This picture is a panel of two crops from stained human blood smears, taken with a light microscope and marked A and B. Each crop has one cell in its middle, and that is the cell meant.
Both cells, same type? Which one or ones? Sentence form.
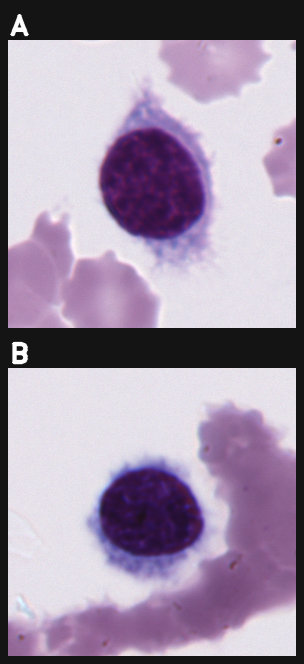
Yes, the two crops show hairy cells, both of them.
